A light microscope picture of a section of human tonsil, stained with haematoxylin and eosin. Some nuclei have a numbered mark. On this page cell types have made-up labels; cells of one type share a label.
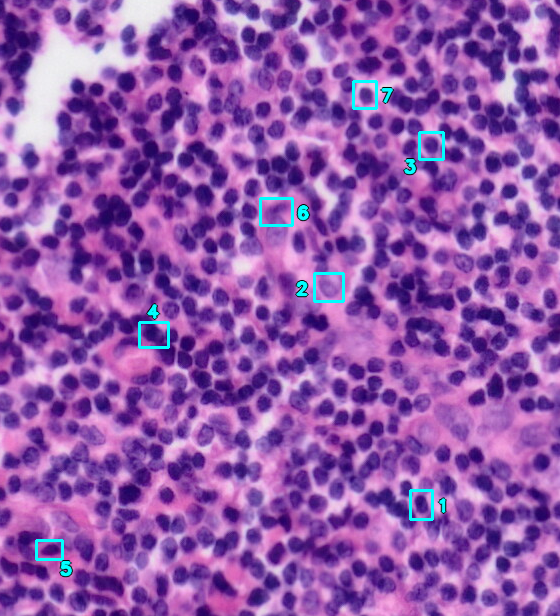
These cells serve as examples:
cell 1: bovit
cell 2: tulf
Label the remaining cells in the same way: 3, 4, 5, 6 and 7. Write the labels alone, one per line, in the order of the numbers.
bovit
bovit
tulf
tulf
bovit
